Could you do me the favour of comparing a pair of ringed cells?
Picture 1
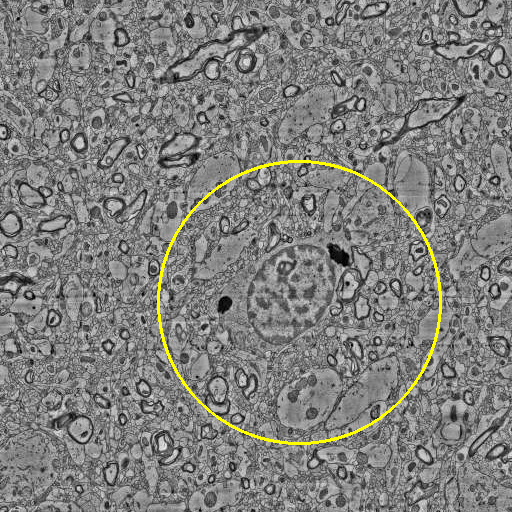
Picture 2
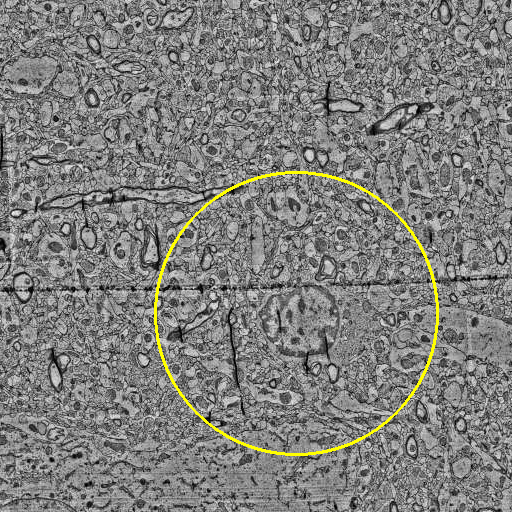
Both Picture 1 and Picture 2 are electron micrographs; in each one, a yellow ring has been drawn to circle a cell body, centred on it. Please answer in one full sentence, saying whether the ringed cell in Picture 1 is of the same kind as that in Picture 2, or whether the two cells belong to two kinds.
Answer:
The ringed cell in Picture 1 is of the same kind as that in Picture 2.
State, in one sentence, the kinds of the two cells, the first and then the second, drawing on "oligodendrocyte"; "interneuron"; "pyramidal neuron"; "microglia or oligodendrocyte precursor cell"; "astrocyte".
The cell in the first picture is an oligodendrocyte, and so is the one in the second.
